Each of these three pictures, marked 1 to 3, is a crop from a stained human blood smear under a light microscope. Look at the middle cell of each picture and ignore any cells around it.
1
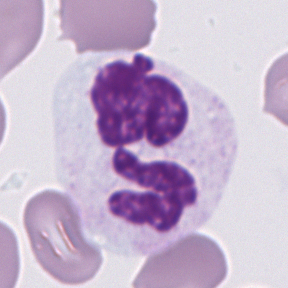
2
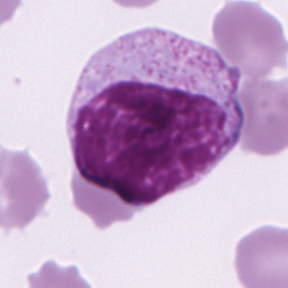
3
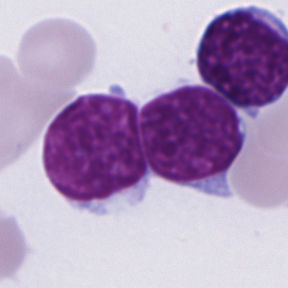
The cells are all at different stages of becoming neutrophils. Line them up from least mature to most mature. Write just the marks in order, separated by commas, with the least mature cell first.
3, 2, 1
